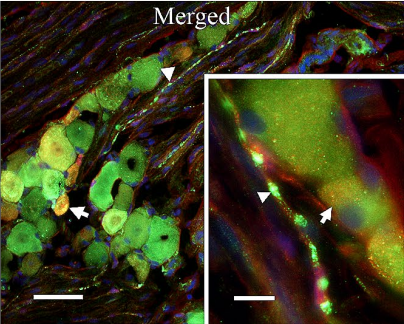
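This shows a cluster of round neuron cell bodies of a sensory ganglion next to a band of nerve fibres. Many cell bodies are green, some appear yellow-orange where red overlaps, and others are weaker. Thin beaded green fibres run along the edge of the cluster among elongated blue nuclei. In the inset a small bright green swelling lies on a fibre beside a large cell body.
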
